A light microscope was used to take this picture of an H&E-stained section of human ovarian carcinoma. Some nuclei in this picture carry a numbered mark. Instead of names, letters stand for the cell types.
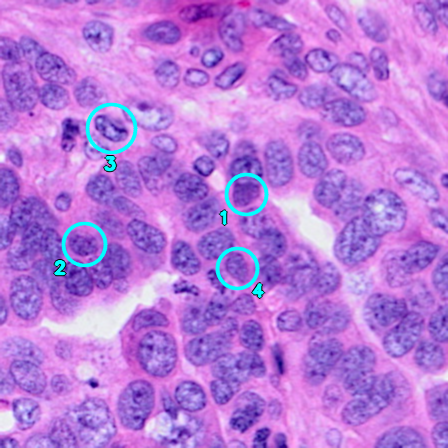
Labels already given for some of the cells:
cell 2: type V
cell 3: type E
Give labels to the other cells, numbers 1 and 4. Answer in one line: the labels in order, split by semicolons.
type V; type V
